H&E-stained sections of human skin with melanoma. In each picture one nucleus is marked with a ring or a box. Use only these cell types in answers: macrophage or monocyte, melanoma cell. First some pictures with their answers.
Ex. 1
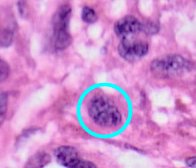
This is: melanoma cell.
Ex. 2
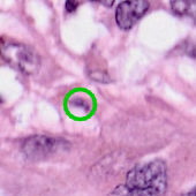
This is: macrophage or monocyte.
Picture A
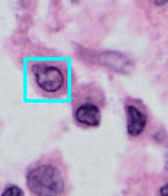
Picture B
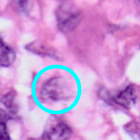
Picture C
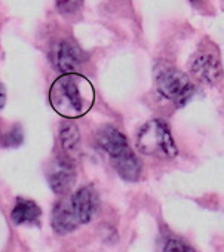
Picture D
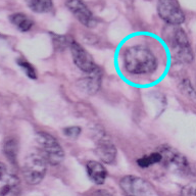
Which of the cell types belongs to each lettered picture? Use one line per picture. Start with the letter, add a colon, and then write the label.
A: macrophage or monocyte.
B: melanoma cell.
C: melanoma cell.
D: melanoma cell.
